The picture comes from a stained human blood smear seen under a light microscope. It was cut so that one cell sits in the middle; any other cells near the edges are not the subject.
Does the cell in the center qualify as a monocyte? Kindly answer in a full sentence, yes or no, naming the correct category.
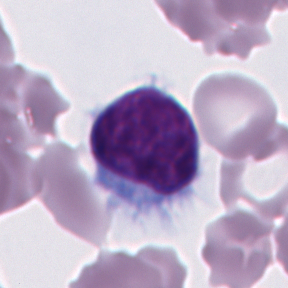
No, the cell in the middle of the crop counts as a hairy cell and not as a monocyte.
